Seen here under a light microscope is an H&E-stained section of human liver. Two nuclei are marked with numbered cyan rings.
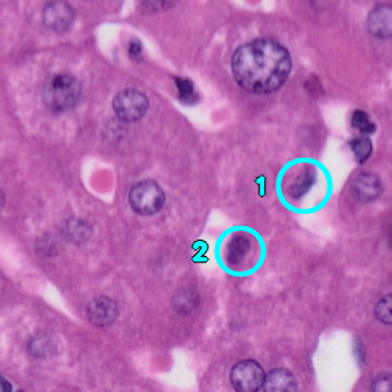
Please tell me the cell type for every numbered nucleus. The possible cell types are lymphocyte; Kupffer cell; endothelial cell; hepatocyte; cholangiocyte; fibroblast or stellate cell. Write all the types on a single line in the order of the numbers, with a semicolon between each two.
endothelial cell; Kupffer cell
